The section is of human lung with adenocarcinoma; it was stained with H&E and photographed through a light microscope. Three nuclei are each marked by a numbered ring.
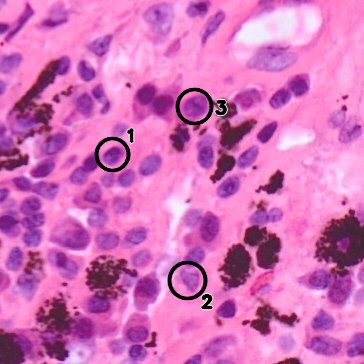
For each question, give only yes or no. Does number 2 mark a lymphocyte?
yes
